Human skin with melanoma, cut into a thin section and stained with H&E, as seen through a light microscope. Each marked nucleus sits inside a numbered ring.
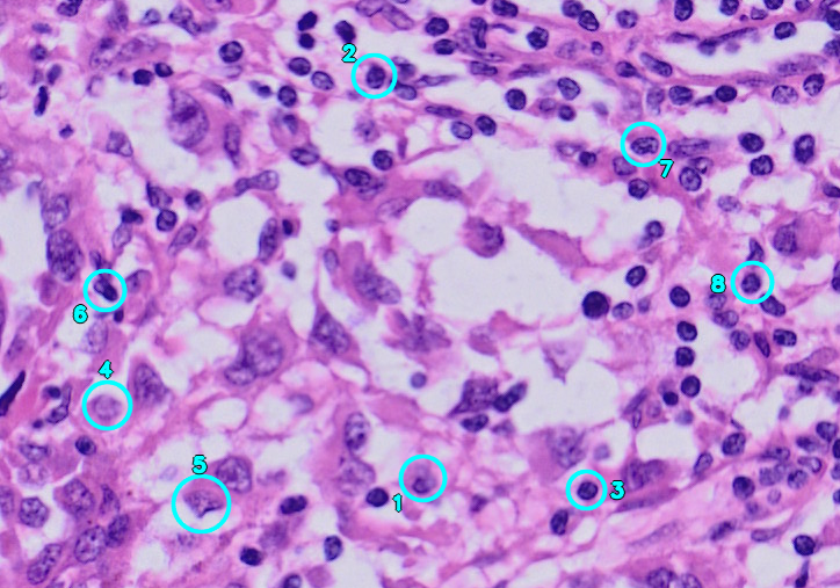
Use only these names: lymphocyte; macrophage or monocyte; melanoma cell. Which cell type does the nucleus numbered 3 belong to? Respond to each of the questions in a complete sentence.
Number 3 among the marked cells is a lymphocyte.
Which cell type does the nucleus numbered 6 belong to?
The cell given label 6 is a lymphocyte.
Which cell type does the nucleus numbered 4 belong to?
The expected answer is that cell 4 is a melanoma cell.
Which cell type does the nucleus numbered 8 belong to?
Cell 8, as marked in the section, is a lymphocyte.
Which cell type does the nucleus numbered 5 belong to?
The cell whose nucleus carries the number 5 is a melanoma cell.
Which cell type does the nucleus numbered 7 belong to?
The label 7 in this section denotes a lymphocyte.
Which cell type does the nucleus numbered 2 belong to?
Numbered cell 2 is a lymphocyte in this tissue section.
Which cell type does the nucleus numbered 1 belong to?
In the tissue shown, cell 1 is a macrophage or monocyte.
